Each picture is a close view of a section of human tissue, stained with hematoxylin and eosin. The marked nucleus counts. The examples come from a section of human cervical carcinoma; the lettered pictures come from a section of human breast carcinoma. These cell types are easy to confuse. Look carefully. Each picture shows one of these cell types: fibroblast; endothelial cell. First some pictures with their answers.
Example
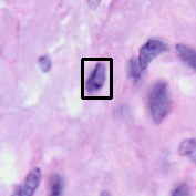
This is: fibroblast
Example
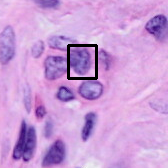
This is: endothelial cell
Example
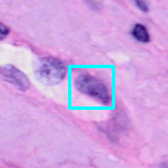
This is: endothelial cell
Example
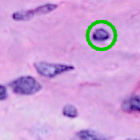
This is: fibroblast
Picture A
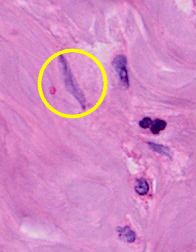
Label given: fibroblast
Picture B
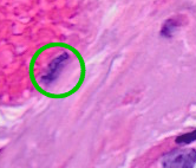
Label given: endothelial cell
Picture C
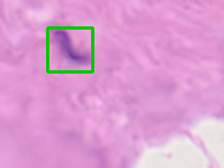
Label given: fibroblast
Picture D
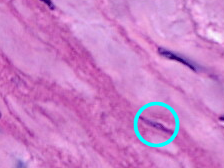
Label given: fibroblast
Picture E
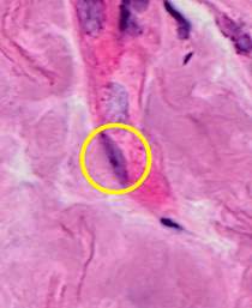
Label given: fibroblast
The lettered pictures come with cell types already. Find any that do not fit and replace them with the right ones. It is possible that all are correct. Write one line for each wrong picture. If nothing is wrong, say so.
E should be endothelial cell, not fibroblast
